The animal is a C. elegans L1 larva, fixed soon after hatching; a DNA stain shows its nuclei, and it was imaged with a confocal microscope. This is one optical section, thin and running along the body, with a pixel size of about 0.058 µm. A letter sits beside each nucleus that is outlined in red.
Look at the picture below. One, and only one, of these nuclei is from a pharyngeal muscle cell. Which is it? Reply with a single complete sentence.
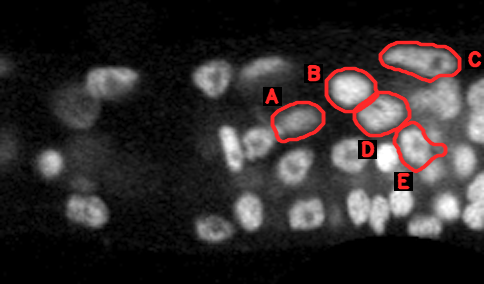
It is E that belongs to a pharyngeal muscle cell.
